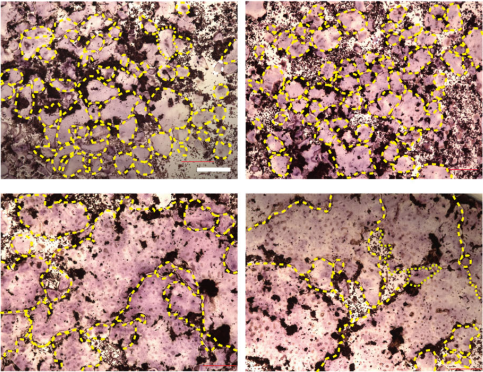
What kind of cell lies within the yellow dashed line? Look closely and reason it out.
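Large purple-stained cells are enclosed by yellow dashed lines. The outlined cells are much larger than surrounding dark debris and are spread flat.
Hence: osteoclast.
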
